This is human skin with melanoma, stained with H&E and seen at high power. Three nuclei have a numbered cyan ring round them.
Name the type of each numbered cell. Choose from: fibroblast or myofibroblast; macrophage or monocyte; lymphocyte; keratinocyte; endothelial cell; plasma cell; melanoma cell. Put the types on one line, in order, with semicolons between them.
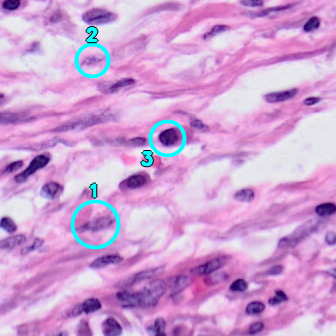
fibroblast or myofibroblast; fibroblast or myofibroblast; plasma cell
